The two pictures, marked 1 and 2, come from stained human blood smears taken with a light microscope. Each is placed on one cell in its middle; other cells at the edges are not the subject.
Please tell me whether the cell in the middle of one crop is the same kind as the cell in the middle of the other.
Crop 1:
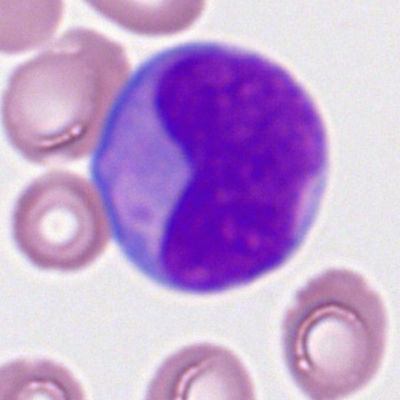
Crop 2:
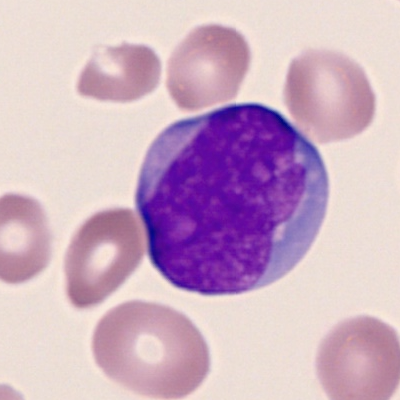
yes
